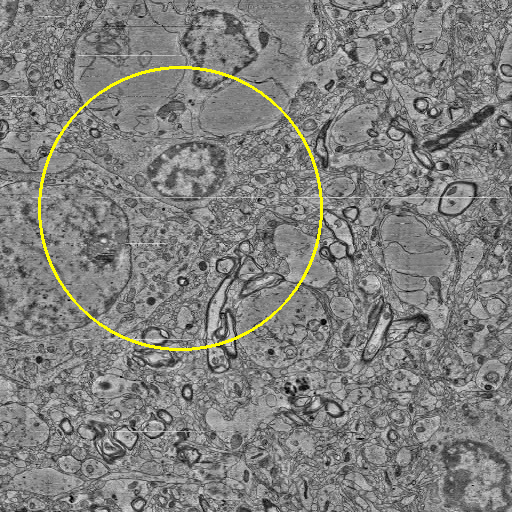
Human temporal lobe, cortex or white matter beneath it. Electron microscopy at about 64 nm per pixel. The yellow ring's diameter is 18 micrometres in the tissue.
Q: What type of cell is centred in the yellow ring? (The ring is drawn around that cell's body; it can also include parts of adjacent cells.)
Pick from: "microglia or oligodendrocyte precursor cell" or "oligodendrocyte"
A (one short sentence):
The yellow ring is centred on an oligodendrocyte.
